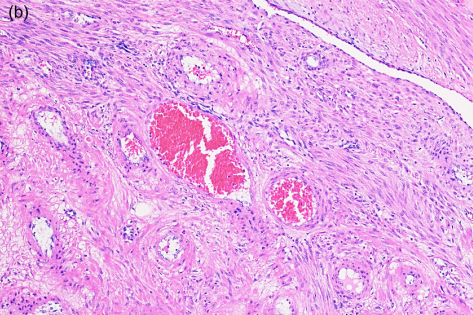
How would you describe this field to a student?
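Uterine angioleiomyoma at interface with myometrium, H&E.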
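The vessels have thick walls, some lumens empty and others packed with red blood cells. Spindle cells with elongated nuclei form concentric layers around the vessels and run in streaming fascicles between them.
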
